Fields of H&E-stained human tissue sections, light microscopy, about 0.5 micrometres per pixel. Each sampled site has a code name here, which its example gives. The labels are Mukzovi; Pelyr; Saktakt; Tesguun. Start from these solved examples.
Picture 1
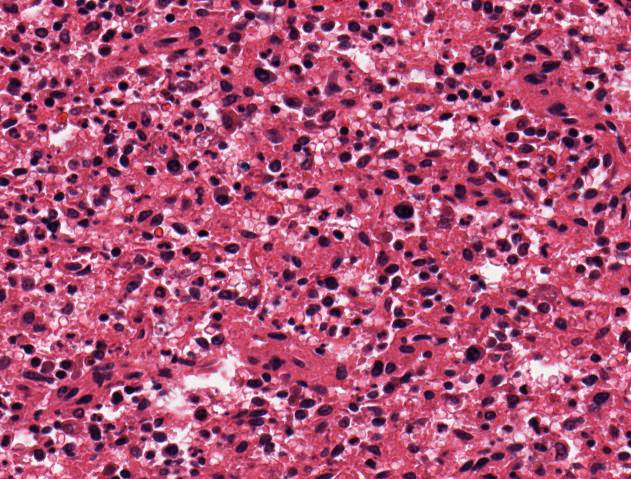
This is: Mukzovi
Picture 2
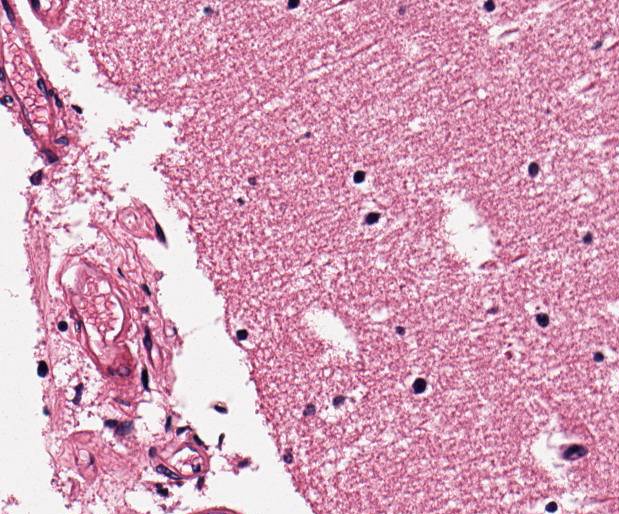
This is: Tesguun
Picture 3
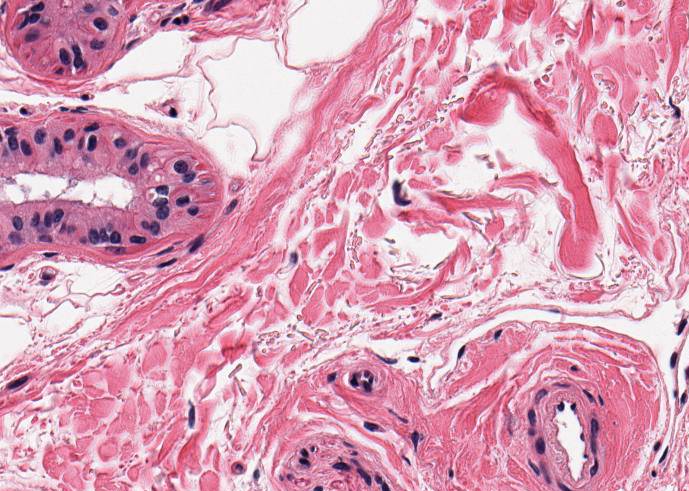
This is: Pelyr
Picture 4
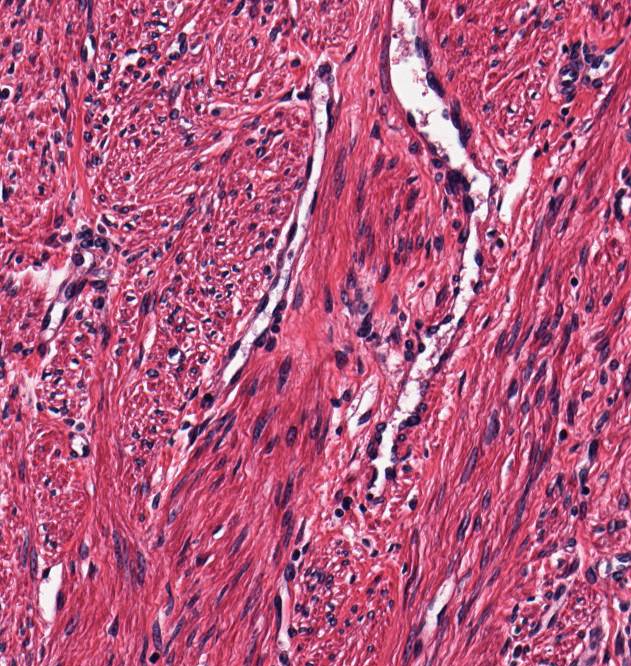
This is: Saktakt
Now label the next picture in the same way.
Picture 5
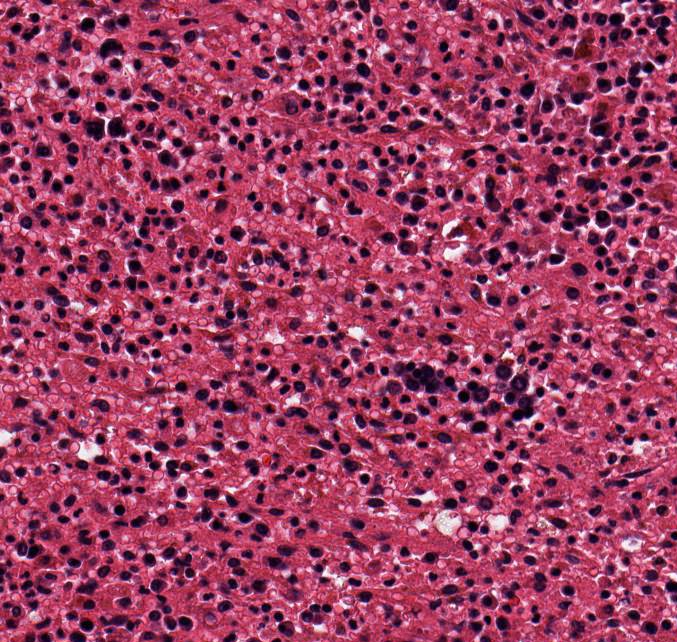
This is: Mukzovi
